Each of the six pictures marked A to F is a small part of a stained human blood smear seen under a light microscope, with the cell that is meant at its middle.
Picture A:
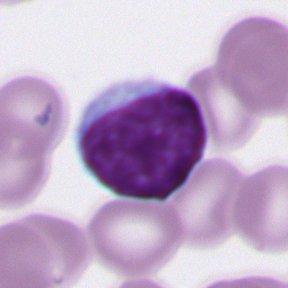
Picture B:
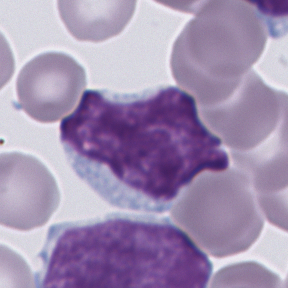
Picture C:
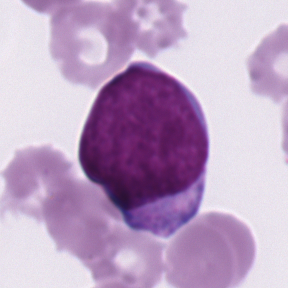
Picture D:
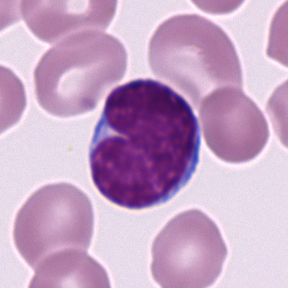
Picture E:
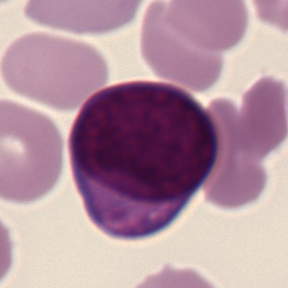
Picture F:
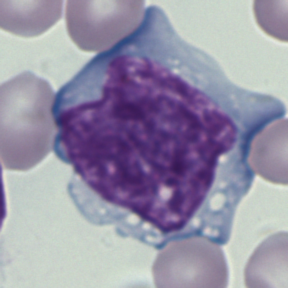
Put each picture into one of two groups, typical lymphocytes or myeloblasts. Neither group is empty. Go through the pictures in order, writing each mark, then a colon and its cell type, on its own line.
A: typical lymphocyte
B: typical lymphocyte
C: myeloblast
D: typical lymphocyte
E: myeloblast
F: myeloblast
